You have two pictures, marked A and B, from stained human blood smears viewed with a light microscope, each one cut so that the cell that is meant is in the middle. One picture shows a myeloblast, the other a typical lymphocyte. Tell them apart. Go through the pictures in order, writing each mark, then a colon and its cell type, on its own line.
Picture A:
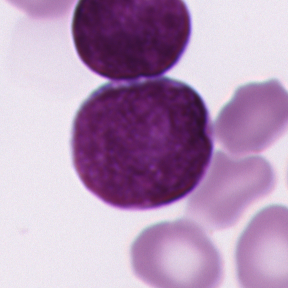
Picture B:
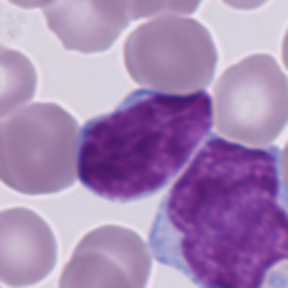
A: myeloblast
B: typical lymphocyte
